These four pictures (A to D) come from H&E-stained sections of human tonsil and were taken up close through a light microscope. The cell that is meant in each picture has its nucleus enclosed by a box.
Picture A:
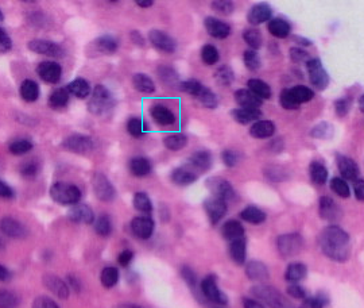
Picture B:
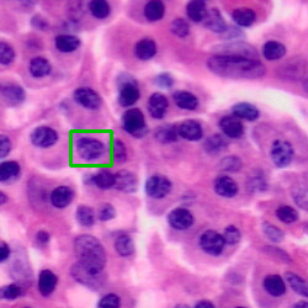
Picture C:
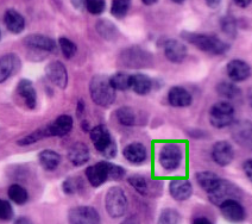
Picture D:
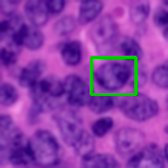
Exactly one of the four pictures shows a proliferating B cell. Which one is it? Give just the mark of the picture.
D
